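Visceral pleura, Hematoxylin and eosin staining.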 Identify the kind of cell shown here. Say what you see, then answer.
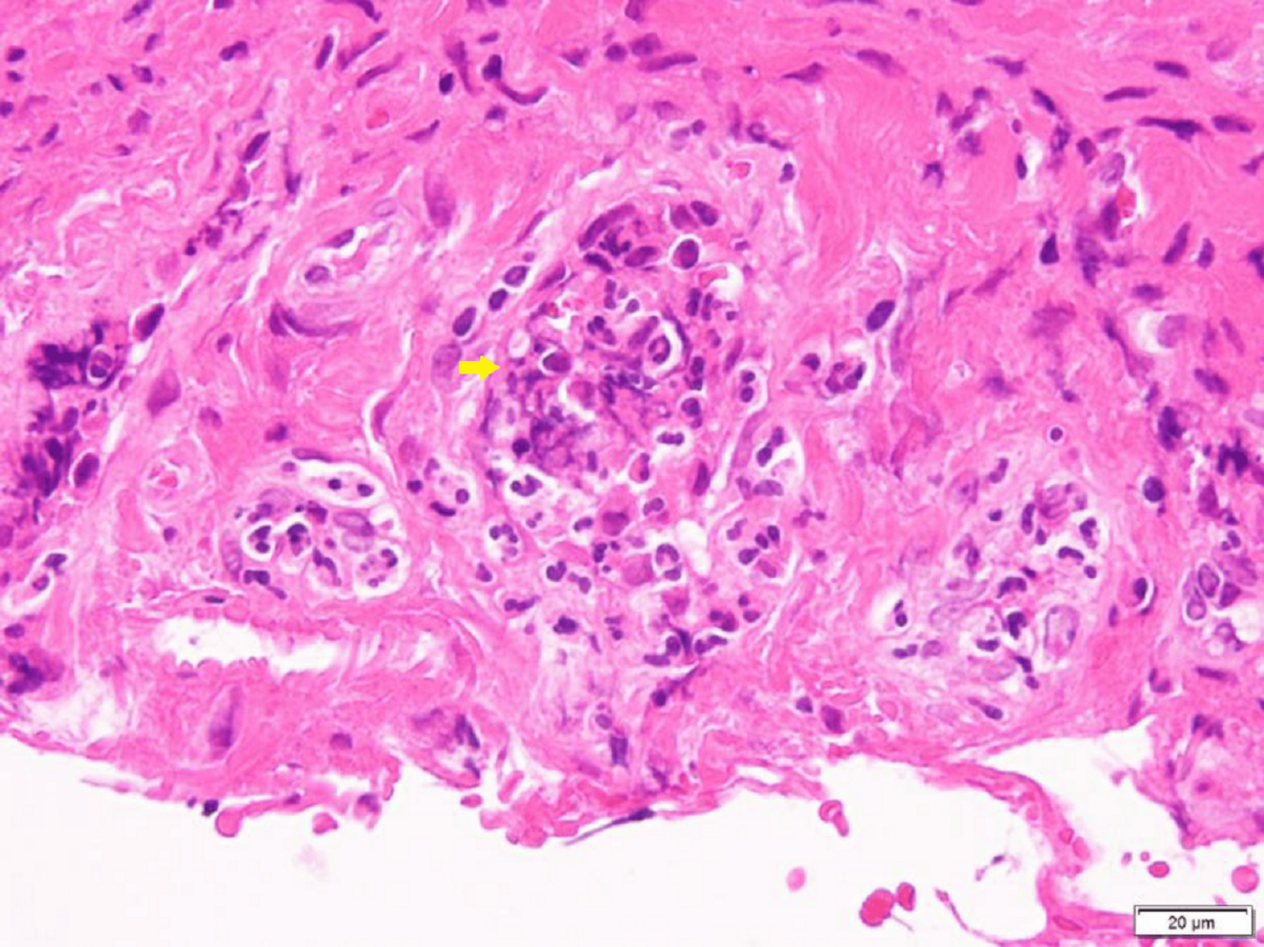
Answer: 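Neutrophils. Many small cells with dark, segmented or lobulated nuclei fill the rounded structure in the centre. Similar cells with lobed nuclei lie within the smaller rounded structures on either side.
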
